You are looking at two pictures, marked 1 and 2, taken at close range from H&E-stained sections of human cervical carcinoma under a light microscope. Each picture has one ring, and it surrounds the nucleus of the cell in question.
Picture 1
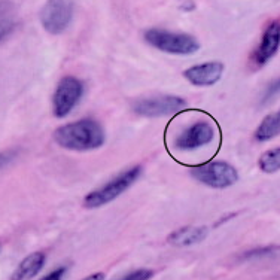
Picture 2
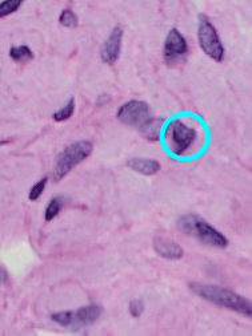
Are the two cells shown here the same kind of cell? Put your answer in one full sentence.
Yes, the two pictures both show fibroblasts.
